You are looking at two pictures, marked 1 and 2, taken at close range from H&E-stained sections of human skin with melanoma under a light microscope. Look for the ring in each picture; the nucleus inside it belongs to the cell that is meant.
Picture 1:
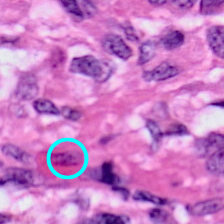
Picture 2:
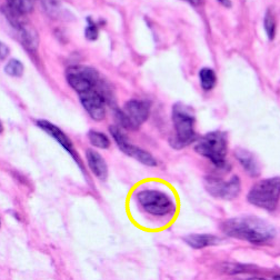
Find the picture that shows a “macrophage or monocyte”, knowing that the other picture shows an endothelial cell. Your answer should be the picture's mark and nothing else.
2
